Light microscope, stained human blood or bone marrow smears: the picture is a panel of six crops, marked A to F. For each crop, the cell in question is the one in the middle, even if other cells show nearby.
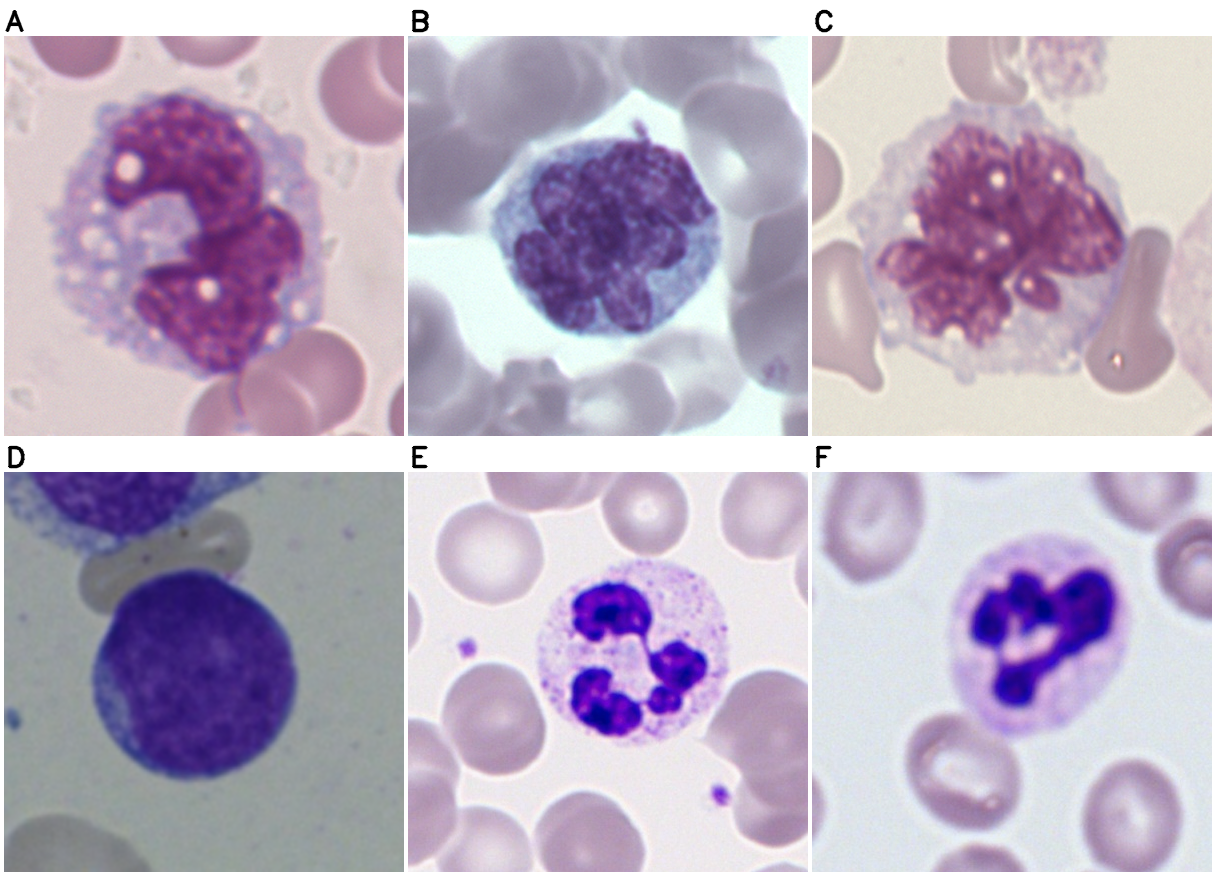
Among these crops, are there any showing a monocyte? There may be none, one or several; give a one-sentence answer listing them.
Crops A, B and C show monocytes at their centres.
